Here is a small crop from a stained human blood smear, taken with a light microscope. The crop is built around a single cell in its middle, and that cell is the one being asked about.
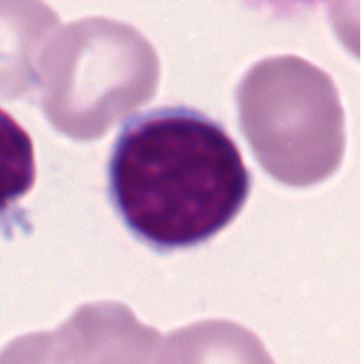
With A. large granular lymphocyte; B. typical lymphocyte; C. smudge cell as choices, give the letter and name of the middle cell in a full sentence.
Option B is correct; the cell in the middle is a typical lymphocyte.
